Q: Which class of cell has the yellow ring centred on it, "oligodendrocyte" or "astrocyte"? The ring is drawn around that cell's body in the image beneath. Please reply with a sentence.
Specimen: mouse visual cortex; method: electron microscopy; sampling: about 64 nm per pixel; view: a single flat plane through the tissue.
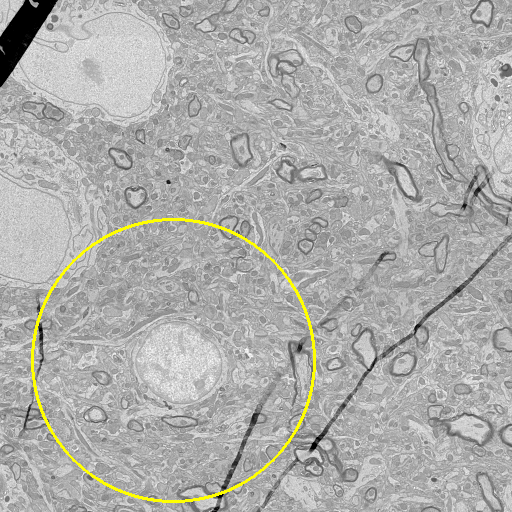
It is centred on an oligodendrocyte.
